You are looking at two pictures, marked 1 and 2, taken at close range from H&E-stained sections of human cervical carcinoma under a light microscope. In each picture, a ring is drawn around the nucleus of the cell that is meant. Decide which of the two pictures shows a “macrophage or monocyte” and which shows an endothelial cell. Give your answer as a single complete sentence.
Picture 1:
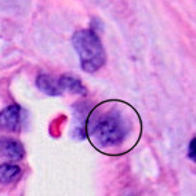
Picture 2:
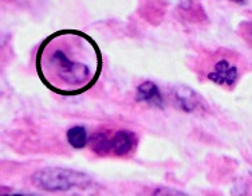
Picture 1 is of an endothelial cell, and picture 2 is of a “macrophage or monocyte”.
